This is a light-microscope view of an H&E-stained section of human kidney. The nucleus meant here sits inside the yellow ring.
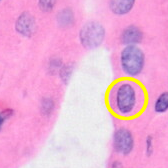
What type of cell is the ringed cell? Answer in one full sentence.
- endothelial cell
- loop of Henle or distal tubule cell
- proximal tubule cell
As for its identity, the ringed cell is a loop of Henle or distal tubule cell.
